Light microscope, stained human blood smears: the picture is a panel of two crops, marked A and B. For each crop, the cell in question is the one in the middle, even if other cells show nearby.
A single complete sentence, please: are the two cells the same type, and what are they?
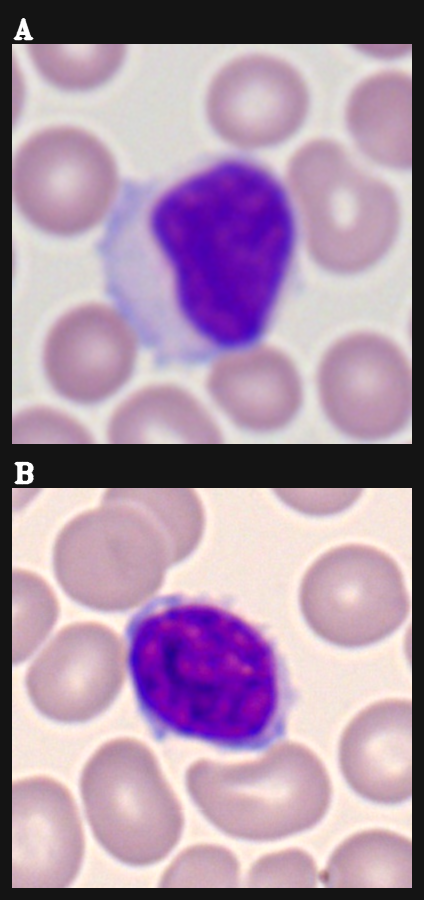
Yes, lymphocytes are present at the centre of both crops.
